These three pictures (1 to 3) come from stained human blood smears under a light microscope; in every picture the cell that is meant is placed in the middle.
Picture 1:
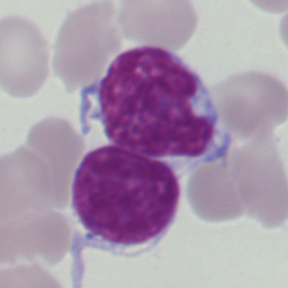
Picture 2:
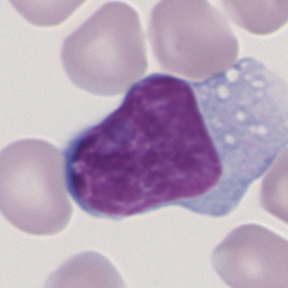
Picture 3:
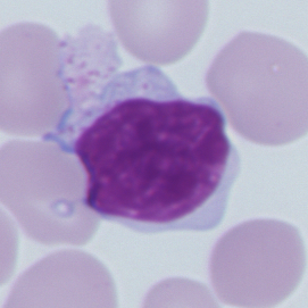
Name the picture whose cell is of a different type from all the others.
3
